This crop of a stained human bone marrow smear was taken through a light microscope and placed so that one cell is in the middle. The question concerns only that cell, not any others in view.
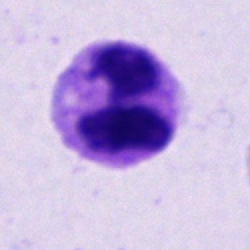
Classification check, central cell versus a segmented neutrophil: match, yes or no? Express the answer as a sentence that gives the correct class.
Yes, the cell at the centre of the field is a segmented neutrophil.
